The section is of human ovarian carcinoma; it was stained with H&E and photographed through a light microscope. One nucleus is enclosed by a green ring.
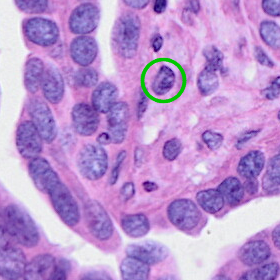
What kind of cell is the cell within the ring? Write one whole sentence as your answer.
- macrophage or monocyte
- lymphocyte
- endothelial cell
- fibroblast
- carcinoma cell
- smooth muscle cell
In the tissue under study, the cell within the ring is a macrophage or monocyte.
